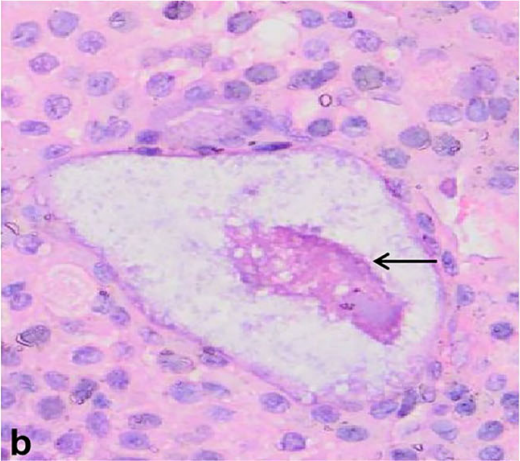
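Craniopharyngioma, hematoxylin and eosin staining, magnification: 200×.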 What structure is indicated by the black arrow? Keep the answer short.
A: Cystic contents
